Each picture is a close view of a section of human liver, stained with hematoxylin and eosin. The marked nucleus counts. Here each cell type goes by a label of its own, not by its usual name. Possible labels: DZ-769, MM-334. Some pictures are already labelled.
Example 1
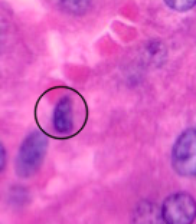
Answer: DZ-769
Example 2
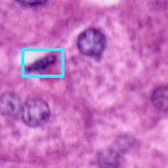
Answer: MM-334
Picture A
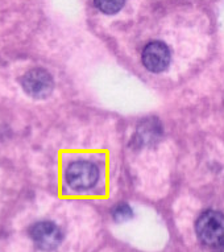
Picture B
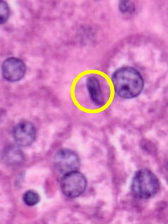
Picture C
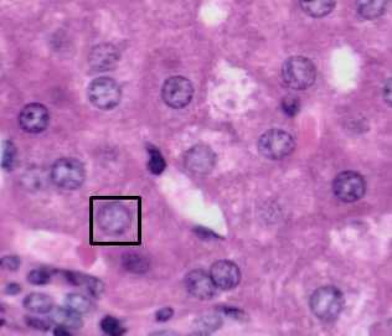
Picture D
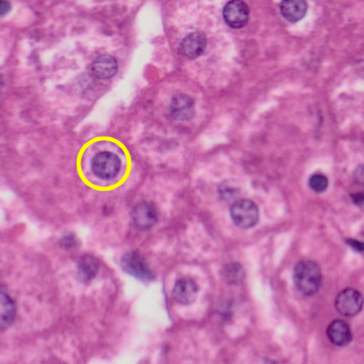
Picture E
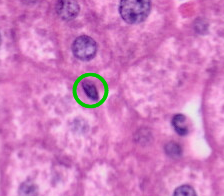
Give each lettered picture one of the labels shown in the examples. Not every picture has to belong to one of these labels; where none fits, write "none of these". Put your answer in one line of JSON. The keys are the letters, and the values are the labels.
{"A": "none of these", "B": "MM-334", "C": "none of these", "D": "none of these", "E": "DZ-769"}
